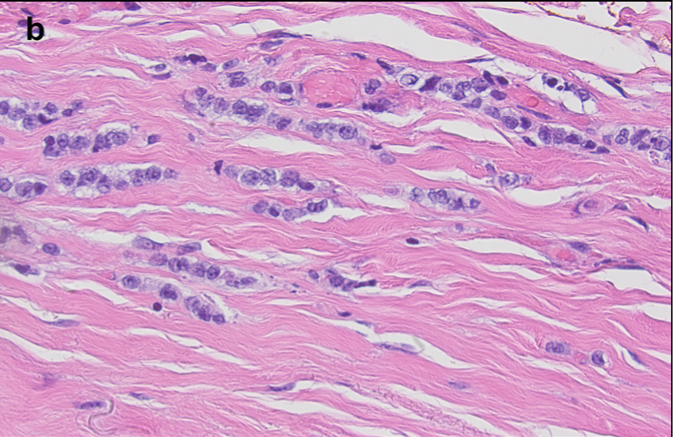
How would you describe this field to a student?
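Infiltrating carcinoma cells lie singly and in single-file rows and thin cords between parallel bundles of pink collagen. The cells are small to medium, with round, fairly uniform purple nuclei and scant pale cytoplasm, and the rows are separated by clefts in the fibrous stroma.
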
